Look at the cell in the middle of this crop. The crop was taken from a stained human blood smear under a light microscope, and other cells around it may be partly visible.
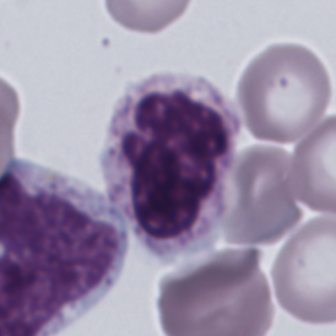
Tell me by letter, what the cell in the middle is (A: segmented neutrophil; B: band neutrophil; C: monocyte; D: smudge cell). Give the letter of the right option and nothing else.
A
